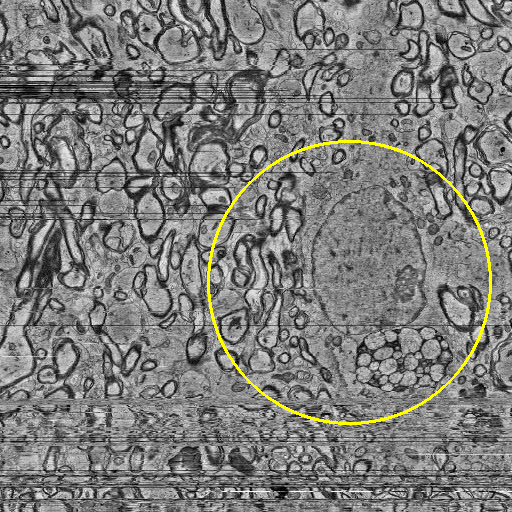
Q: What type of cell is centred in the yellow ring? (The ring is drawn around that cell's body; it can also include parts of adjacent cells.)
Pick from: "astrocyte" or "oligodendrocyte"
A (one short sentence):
The yellow ring is centred on an astrocyte.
